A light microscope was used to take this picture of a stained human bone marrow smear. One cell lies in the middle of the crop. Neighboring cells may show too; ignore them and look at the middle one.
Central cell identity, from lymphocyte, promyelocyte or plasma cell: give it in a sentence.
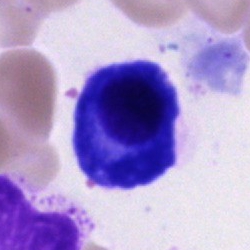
The centered cell in this crop is a plasma cell.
